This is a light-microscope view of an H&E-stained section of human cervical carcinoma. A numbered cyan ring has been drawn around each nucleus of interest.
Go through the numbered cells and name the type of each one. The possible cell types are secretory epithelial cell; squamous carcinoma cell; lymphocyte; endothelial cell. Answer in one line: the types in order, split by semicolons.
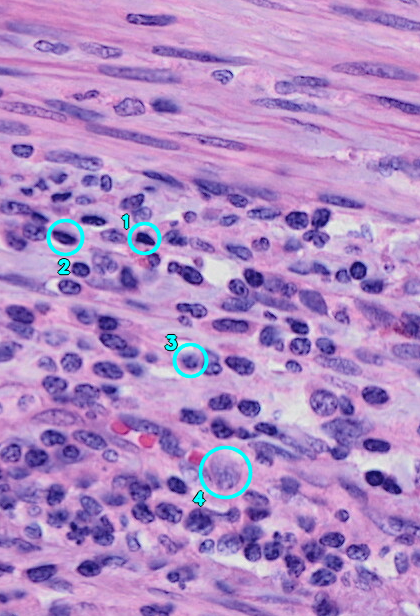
lymphocyte; lymphocyte; lymphocyte; endothelial cell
